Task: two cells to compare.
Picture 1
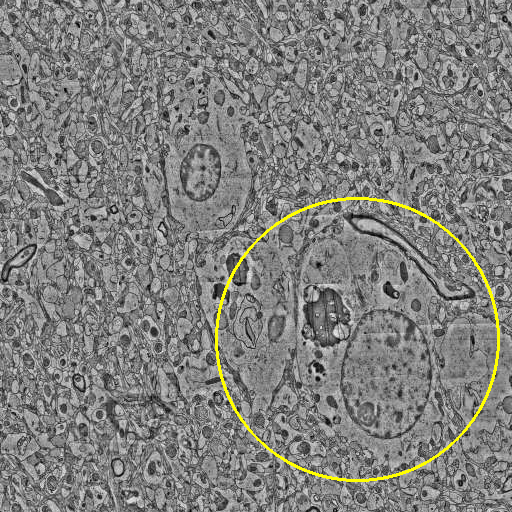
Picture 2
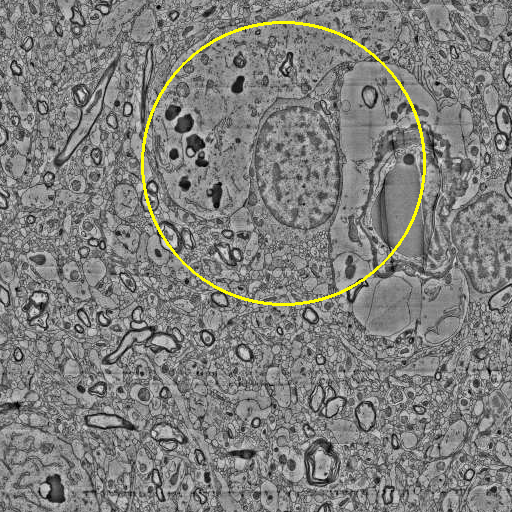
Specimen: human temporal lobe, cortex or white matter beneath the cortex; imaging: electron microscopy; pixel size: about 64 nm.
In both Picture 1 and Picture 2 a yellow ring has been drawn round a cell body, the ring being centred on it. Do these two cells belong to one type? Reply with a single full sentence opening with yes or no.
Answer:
No, the two cells at the ring centres in Picture 1 and Picture 2 are of two types.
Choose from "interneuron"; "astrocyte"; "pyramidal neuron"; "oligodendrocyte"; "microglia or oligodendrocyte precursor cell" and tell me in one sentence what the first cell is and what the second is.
What the first ring is centred on is an astrocyte; what the second ring is centred on is an oligodendrocyte.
